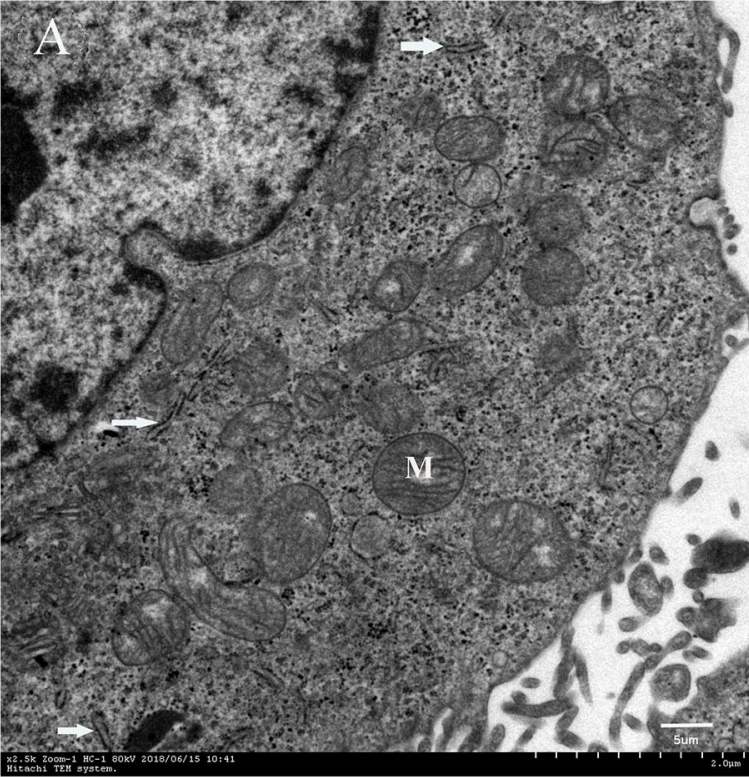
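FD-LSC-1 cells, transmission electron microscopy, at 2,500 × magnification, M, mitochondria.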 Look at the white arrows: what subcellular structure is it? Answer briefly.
endoplasmic reticulum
